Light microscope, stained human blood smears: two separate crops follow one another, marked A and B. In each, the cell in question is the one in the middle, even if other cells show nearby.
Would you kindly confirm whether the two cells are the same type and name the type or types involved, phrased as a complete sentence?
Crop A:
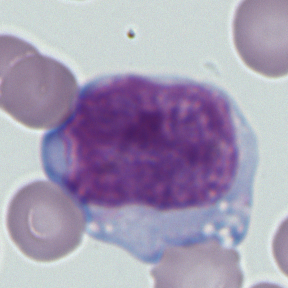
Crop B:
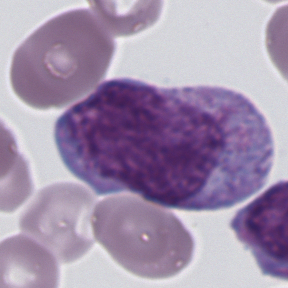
No, a myeloblast is depicted by crop A, an atypical promyelocyte by crop B.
